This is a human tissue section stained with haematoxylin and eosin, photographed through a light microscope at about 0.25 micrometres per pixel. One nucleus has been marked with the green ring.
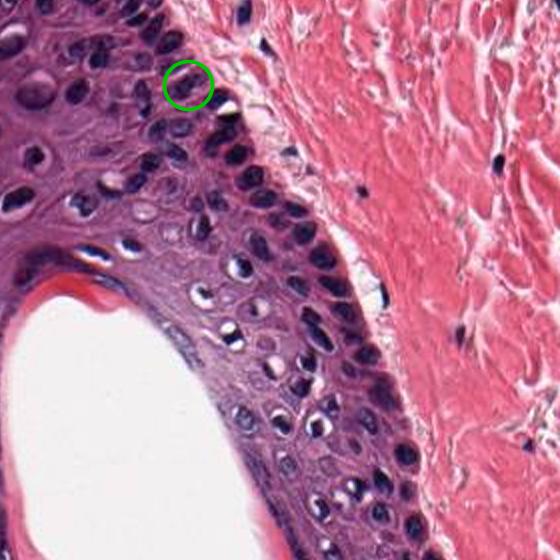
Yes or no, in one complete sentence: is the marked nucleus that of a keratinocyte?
Yes, the marked nucleus, as shown, belongs to a keratinocyte.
